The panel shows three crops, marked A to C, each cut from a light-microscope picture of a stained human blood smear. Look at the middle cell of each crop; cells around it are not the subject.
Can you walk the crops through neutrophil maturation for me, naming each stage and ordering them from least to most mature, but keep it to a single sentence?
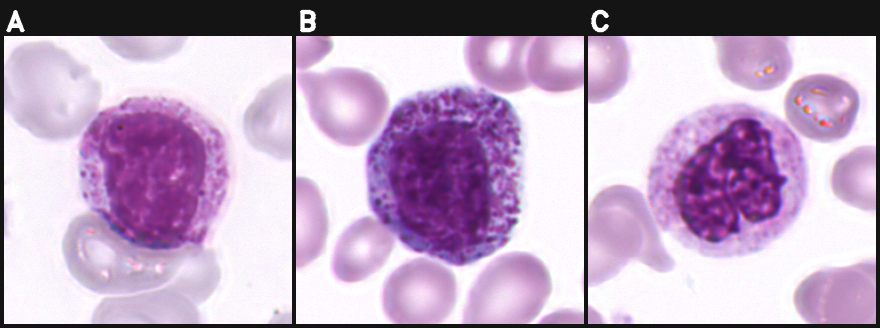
Ranked from least to most mature, the sequence is crop B (a promyelocyte), crop A (a myelocyte) and crop C (a band neutrophil).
